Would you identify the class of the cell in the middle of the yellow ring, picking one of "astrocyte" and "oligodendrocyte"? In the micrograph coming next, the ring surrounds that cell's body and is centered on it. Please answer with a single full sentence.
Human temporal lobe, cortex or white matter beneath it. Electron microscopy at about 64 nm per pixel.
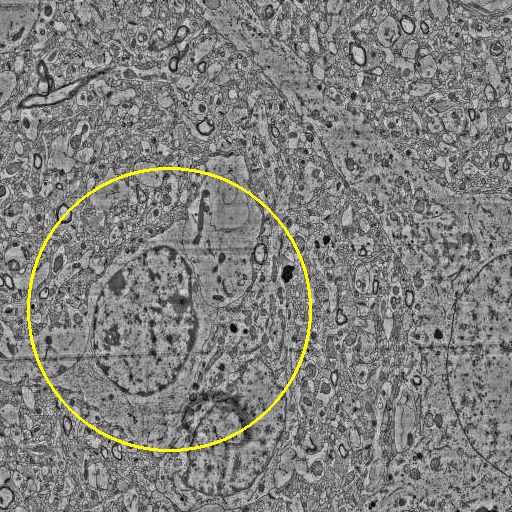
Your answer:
In the micrograph, it is an astrocyte whose body lies at the ring's center.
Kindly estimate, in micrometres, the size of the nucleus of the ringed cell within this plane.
In this plane the nucleus is about 10 micrometres by 7.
